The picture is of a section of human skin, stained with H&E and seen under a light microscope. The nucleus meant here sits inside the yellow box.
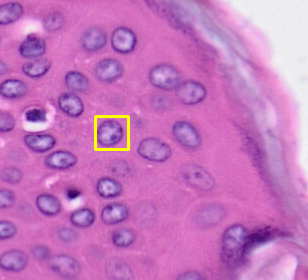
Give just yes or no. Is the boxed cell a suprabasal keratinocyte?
yes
